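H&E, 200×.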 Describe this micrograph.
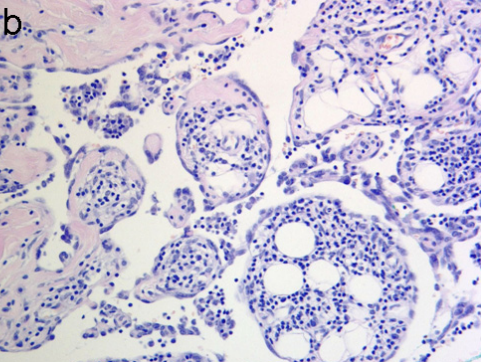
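Vascular tumour tissue with atypical, swollen endothelial cells lining irregular, branching and connecting channels among pink collagen bundles. Plump lining cells with enlarged nuclei form rounded, papilla-like tufts that project into open lumina. Several tufts contain clear round vacuoles resembling fat spaces. Numerous small round cells with dark, round nuclei and scant cytoplasm crowd within and around the tufts, consistent with lymphocytic inflammation. The stroma between channels is loose to densely collagenous.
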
